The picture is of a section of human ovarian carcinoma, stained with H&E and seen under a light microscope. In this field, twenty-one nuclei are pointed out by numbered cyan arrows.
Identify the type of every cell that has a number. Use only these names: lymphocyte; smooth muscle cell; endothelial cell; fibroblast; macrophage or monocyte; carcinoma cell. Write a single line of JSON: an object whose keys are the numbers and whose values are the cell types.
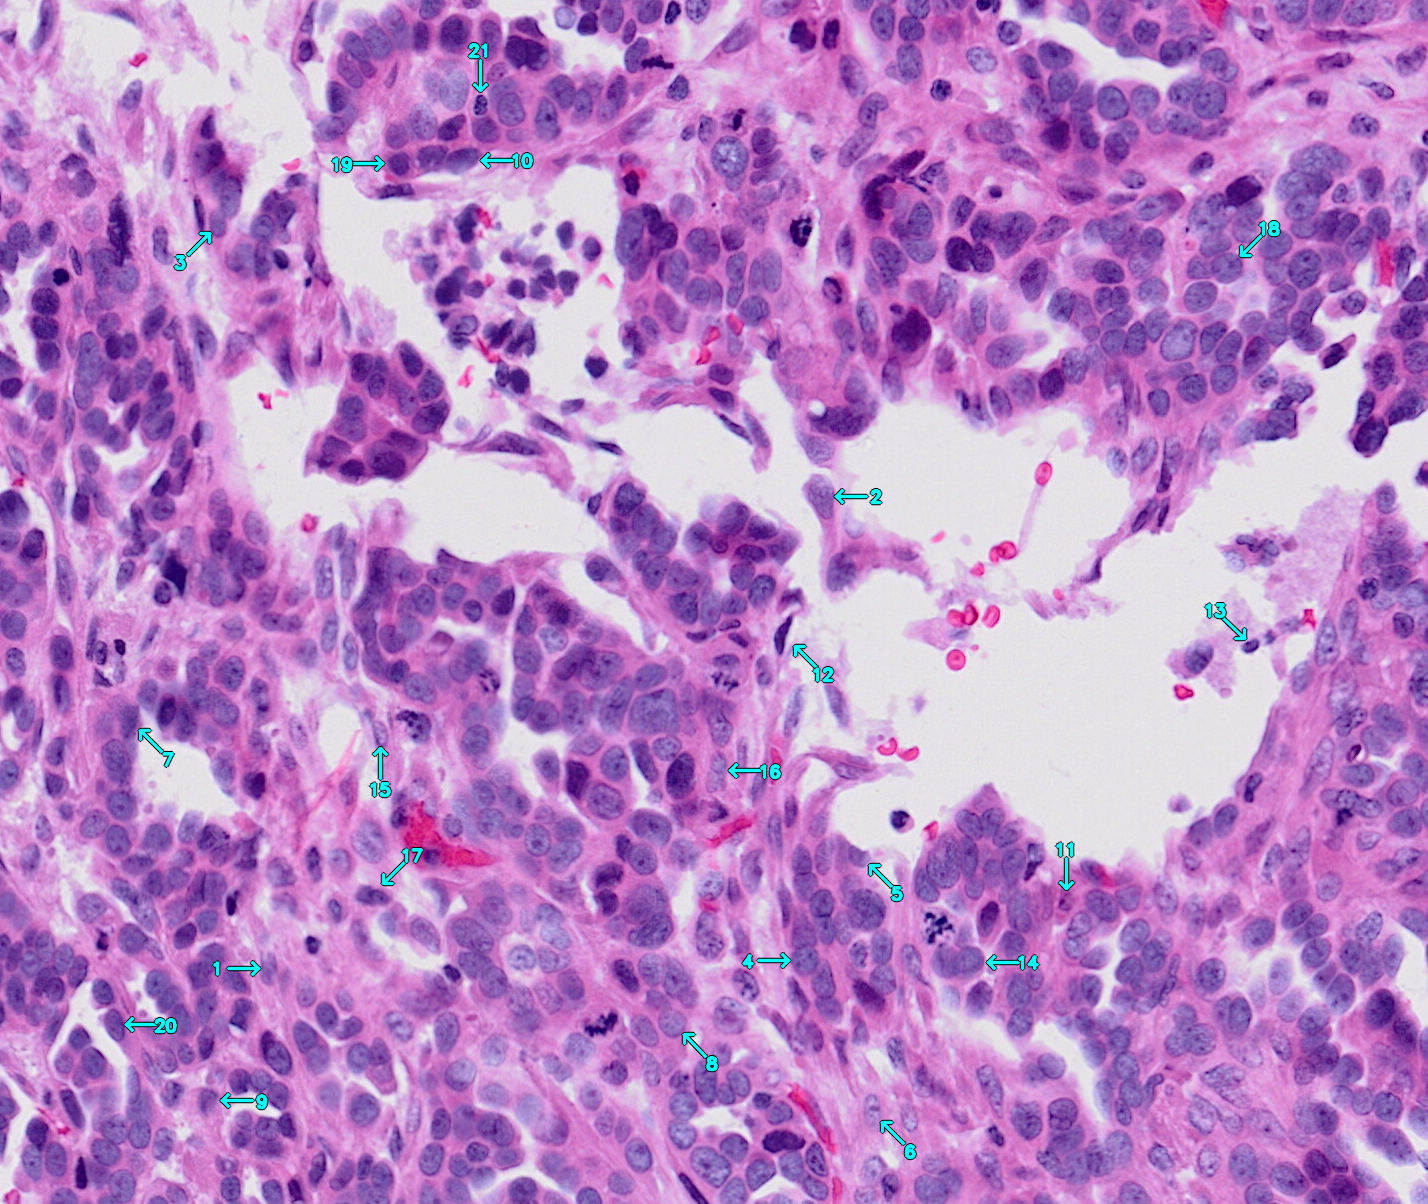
{"1": "fibroblast", "2": "carcinoma cell", "3": "carcinoma cell", "4": "carcinoma cell", "5": "carcinoma cell", "6": "fibroblast", "7": "carcinoma cell", "8": "carcinoma cell", "9": "macrophage or monocyte", "10": "carcinoma cell", "11": "macrophage or monocyte", "12": "fibroblast", "13": "lymphocyte", "14": "carcinoma cell", "15": "fibroblast", "16": "fibroblast", "17": "macrophage or monocyte", "18": "carcinoma cell", "19": "carcinoma cell", "20": "carcinoma cell", "21": "lymphocyte"}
